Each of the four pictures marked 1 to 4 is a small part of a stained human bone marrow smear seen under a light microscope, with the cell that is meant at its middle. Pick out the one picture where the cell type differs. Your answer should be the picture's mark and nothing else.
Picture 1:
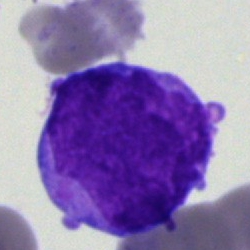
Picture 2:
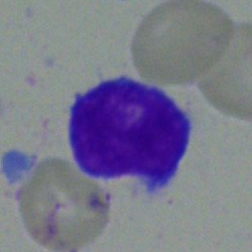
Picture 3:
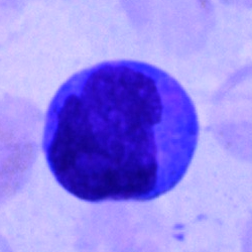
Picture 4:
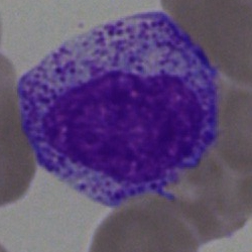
4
